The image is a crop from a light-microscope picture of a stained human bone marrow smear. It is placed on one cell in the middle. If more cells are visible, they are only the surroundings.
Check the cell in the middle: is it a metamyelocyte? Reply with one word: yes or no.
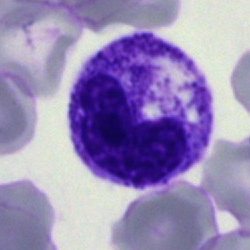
yes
